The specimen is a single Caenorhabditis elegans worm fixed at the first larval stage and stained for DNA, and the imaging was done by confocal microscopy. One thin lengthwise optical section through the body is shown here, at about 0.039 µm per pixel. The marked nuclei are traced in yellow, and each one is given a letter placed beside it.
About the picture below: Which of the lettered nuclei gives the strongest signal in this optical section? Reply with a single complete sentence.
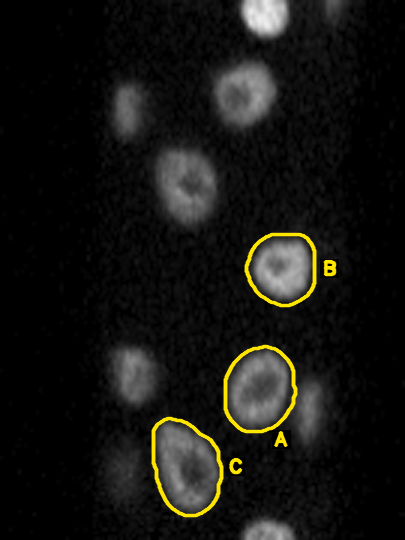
B is stained most strongly in this section.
